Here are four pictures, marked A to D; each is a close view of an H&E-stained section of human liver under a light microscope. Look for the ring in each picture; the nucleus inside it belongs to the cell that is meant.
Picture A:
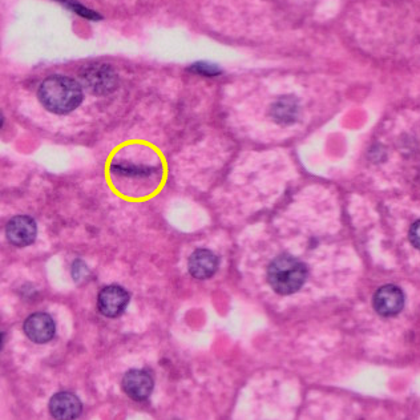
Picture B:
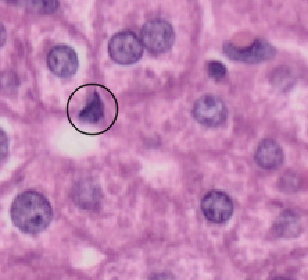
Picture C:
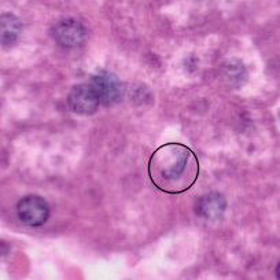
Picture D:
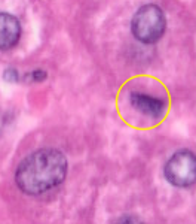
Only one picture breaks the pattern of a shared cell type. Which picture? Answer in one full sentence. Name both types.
Picture C is the odd one out: it shows an endothelial cell, while the others show “fibroblasts or stellate cells”.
